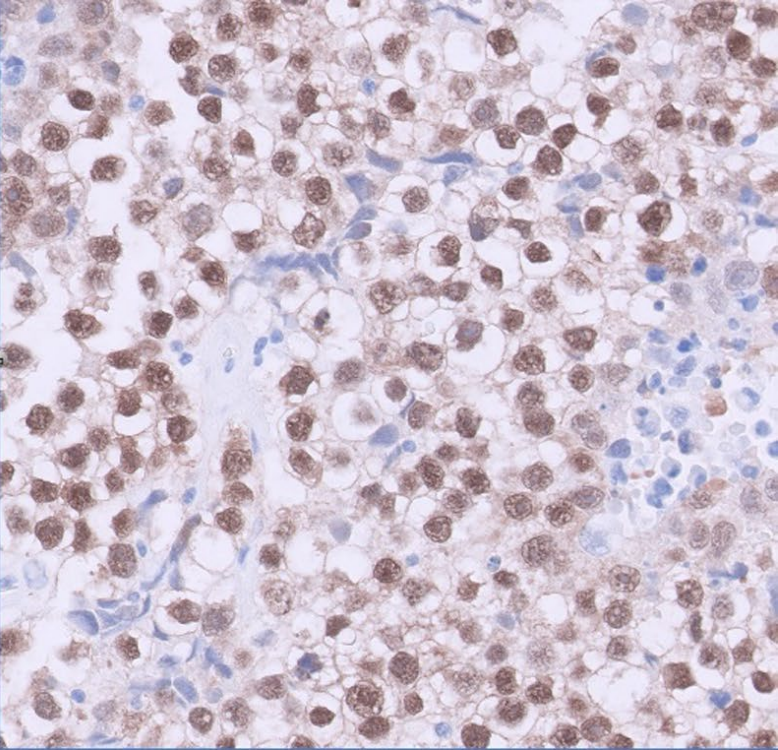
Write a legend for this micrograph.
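Tumor composed of sheets of large cells with clear, vacuolated cytoplasm and distinct cell membranes. Nearly all the large round nuclei are stained diffusely brown, while the cytoplasm stays pale. Interspersed small spindle-shaped stromal cells along thin septa have blue, unstained nuclei. A small cluster of small round cells with blue nuclei lies at the right edge.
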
